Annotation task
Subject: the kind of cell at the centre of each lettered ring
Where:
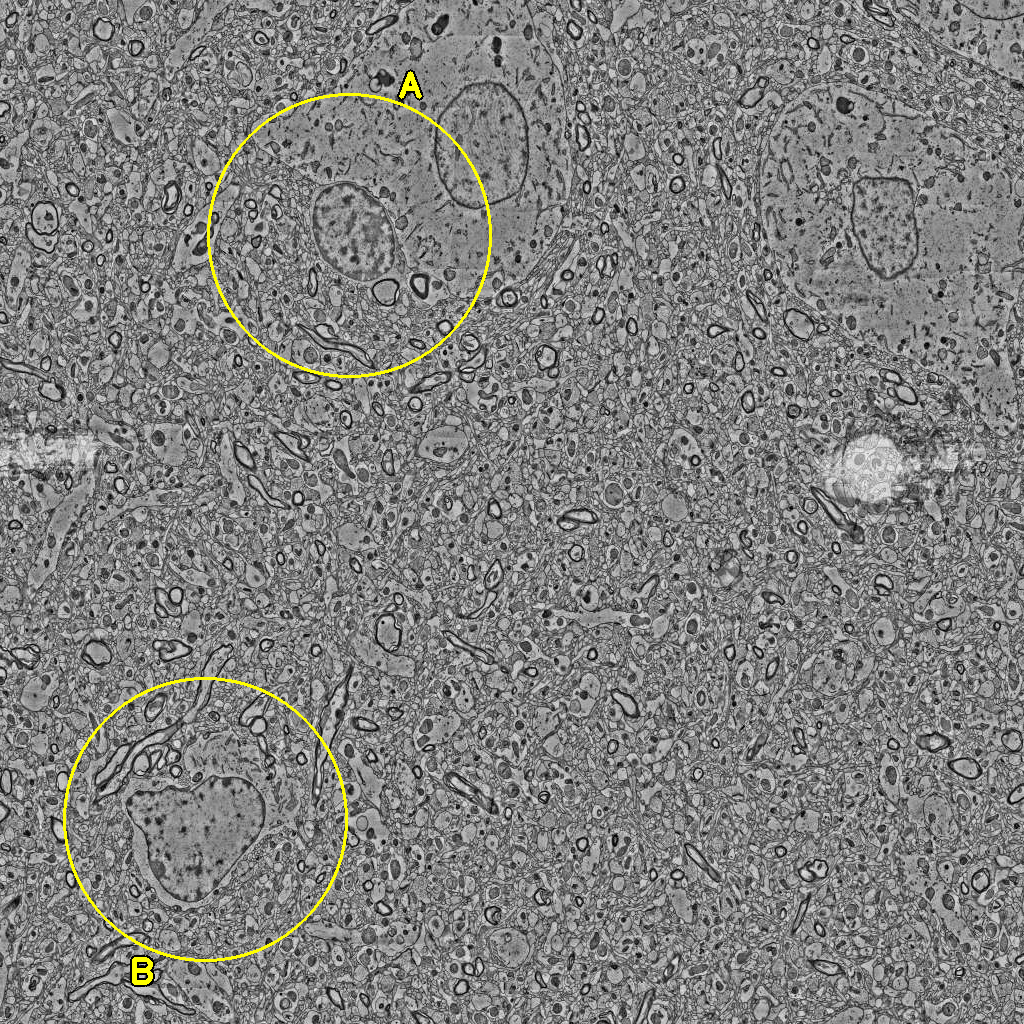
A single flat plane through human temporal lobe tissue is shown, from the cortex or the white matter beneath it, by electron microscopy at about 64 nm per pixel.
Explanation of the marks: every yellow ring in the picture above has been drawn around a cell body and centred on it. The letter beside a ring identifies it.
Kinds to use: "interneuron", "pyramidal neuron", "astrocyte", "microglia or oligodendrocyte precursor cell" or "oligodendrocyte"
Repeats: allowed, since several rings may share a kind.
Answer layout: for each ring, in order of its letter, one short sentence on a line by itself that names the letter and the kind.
The ring lettered A is drawn around an oligodendrocyte.
The ring lettered B is drawn around a microglial cell or oligodendrocyte precursor cell.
